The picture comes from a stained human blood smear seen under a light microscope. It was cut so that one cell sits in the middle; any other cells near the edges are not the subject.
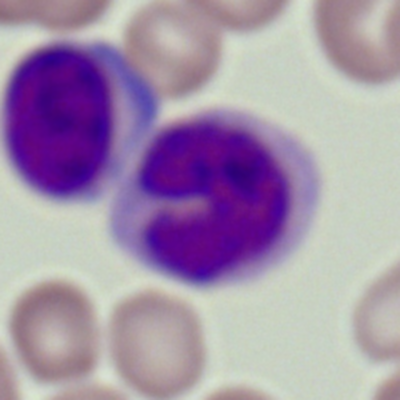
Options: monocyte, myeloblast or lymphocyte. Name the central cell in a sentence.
The cell that lies at the centre of the crop is a monocyte.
